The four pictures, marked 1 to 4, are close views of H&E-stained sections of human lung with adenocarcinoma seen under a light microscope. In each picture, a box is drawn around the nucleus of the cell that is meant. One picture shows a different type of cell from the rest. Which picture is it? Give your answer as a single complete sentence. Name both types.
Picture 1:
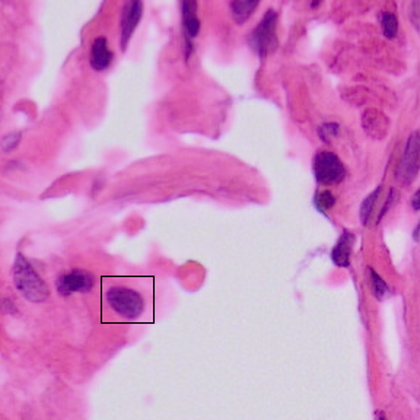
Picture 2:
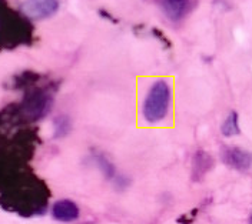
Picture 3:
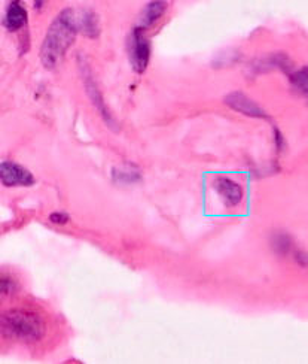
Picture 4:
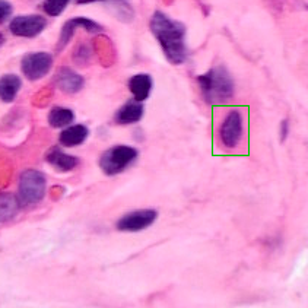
Picture 1 differs, because its cell is a type I pneumocyte and the rest are mast cells.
